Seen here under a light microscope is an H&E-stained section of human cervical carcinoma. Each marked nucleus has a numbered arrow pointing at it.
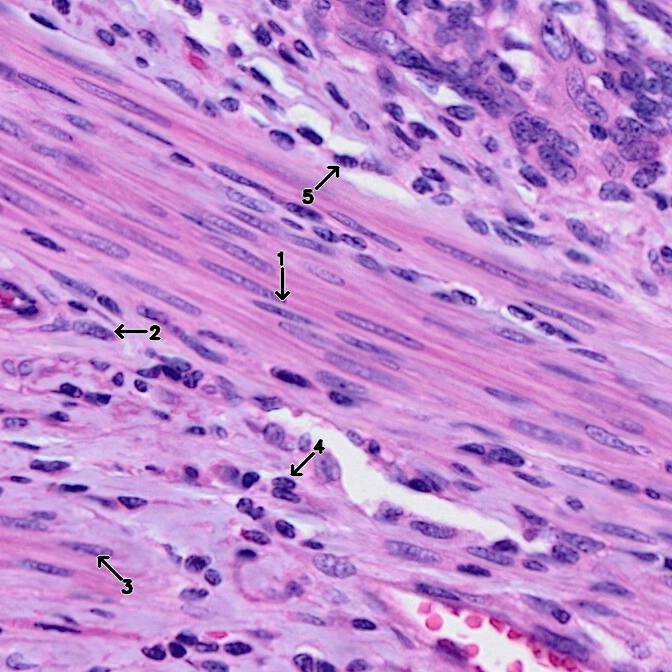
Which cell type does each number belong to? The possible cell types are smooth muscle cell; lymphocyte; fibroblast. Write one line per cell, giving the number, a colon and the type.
1: smooth muscle cell
2: fibroblast
3: smooth muscle cell
4: lymphocyte
5: lymphocyte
